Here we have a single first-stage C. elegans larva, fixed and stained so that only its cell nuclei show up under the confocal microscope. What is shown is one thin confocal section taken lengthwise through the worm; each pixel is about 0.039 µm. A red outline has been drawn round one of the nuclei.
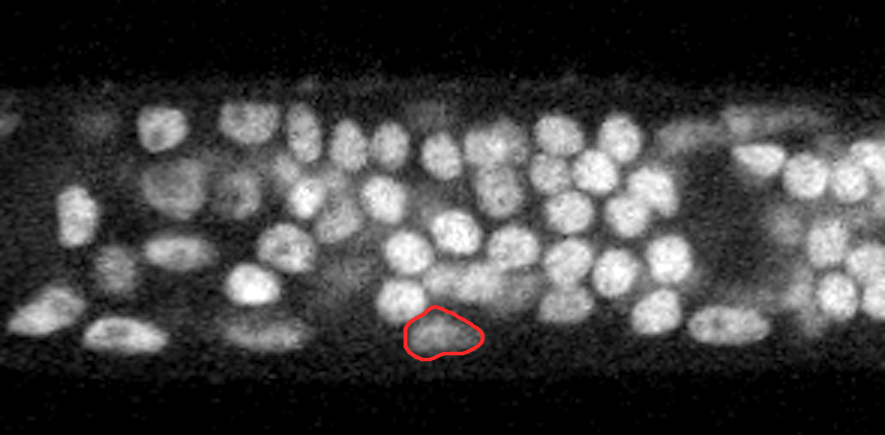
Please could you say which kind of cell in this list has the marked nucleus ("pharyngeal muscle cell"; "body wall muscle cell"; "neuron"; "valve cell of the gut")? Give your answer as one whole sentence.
It belongs to a body wall muscle cell.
